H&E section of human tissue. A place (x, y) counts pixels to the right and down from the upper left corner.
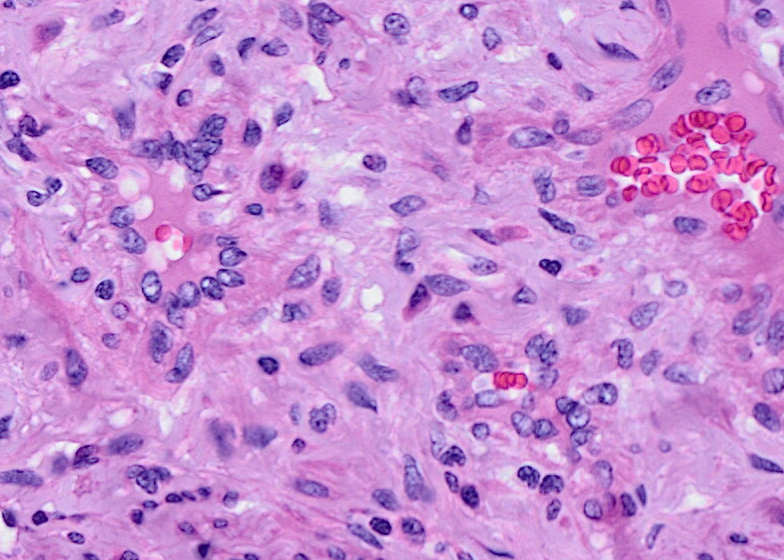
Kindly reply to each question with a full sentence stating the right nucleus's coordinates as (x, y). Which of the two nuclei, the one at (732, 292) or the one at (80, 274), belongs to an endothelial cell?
The nucleus at position (732, 292) belongs to an endothelial cell.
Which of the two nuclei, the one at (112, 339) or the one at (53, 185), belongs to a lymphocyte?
The nucleus at (53, 185), rather than the other one, belongs to a lymphocyte.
